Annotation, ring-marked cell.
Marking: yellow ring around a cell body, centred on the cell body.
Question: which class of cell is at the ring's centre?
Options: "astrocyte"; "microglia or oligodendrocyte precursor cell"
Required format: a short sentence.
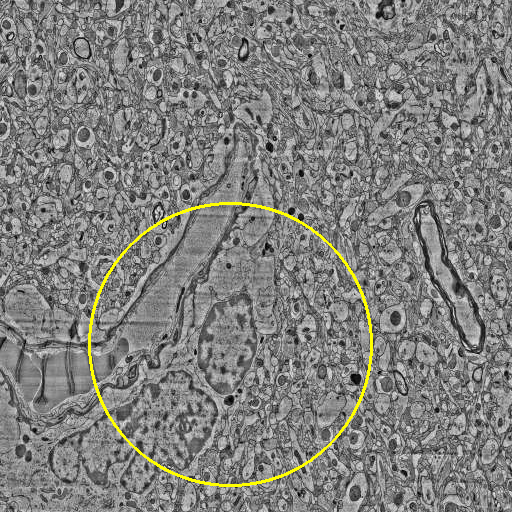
At the ring's centre is a microglial cell or oligodendrocyte precursor cell.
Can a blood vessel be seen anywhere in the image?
Yes, one appears.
